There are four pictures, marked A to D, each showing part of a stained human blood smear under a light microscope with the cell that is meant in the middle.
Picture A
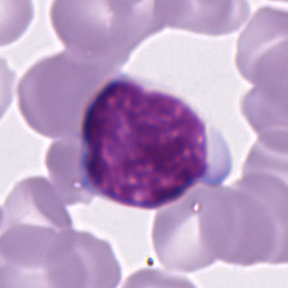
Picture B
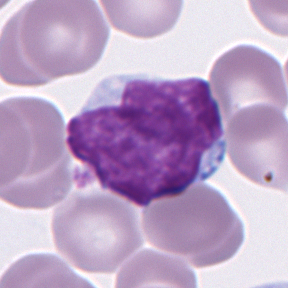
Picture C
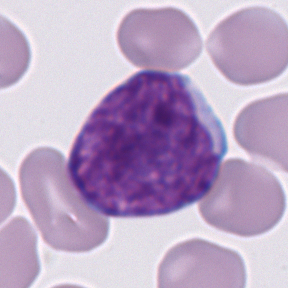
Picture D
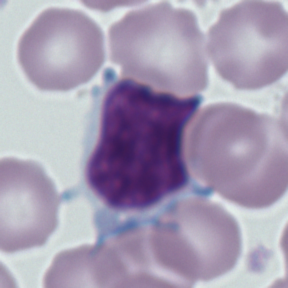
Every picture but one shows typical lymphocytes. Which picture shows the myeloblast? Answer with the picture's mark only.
C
